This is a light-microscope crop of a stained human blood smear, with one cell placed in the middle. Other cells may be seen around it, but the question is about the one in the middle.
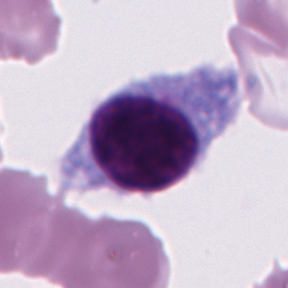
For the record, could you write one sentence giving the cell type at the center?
In this smear crop, the middle cell is a hairy cell.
